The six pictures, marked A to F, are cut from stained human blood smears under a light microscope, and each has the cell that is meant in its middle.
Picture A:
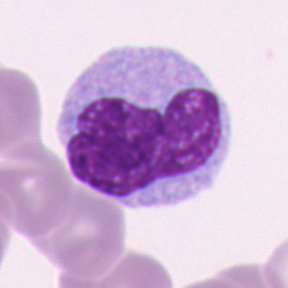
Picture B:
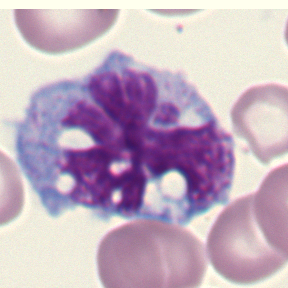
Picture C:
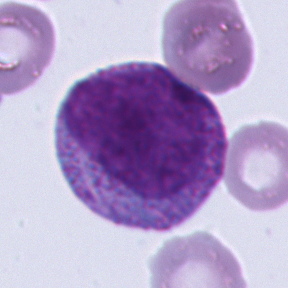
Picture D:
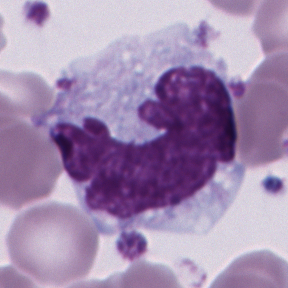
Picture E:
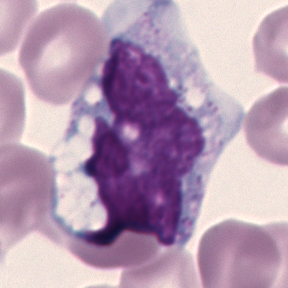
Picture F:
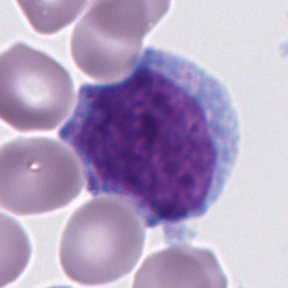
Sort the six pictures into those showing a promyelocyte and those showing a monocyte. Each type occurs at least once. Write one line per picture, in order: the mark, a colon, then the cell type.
A: monocyte
B: monocyte
C: promyelocyte
D: monocyte
E: monocyte
F: promyelocyte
